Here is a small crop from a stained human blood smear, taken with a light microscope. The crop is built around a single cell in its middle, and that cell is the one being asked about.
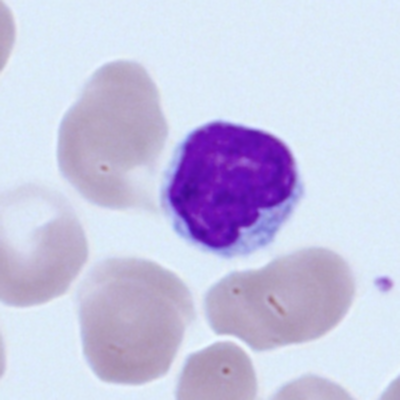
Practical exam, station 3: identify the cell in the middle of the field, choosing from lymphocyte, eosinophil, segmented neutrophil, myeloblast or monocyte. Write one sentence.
In the central position of this crop, the cell is a lymphocyte.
